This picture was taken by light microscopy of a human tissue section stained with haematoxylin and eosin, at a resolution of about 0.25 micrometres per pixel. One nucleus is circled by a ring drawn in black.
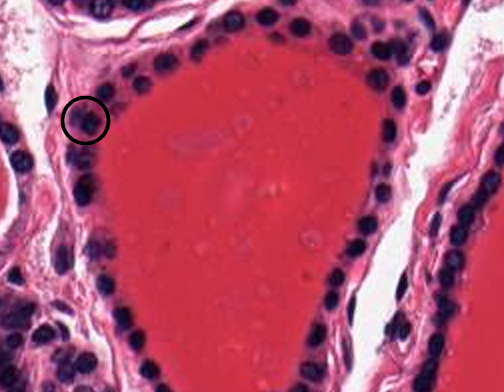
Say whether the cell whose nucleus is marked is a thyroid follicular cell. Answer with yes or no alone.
yes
